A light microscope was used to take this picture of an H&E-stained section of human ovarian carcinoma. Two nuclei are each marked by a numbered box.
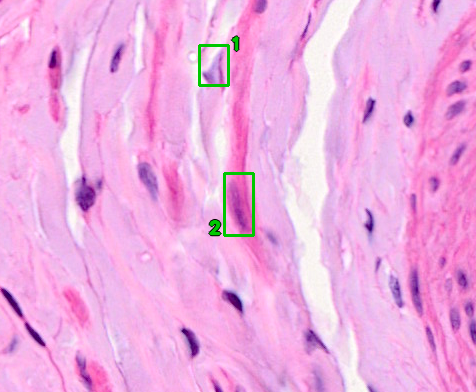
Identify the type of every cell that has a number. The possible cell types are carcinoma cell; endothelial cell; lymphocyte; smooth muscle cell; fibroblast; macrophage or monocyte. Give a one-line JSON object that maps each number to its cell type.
{"1": "fibroblast", "2": "smooth muscle cell"}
